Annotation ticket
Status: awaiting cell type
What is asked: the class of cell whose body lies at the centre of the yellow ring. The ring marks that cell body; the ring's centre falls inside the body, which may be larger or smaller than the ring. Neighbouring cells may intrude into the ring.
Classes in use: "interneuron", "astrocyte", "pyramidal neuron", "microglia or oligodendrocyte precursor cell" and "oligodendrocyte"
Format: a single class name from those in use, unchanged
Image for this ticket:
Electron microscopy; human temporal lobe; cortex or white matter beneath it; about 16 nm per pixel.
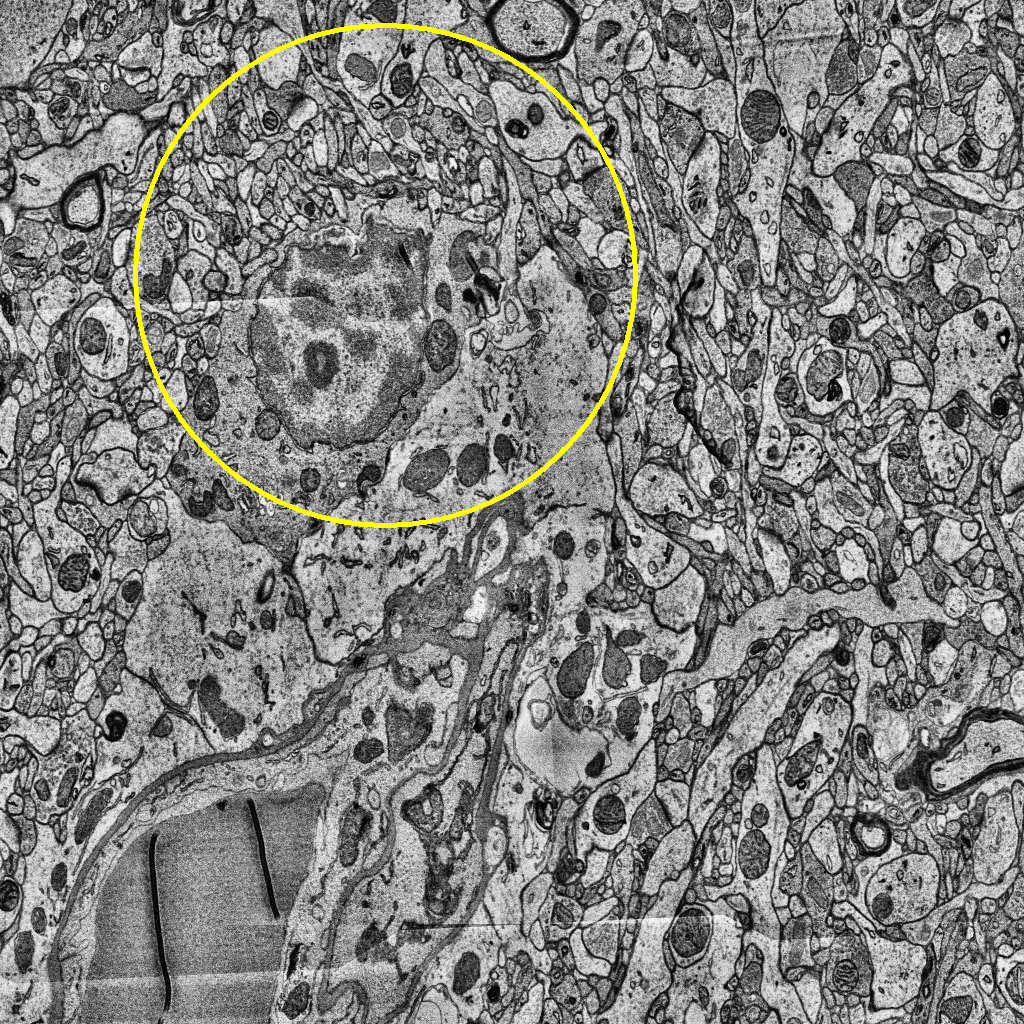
oligodendrocyte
